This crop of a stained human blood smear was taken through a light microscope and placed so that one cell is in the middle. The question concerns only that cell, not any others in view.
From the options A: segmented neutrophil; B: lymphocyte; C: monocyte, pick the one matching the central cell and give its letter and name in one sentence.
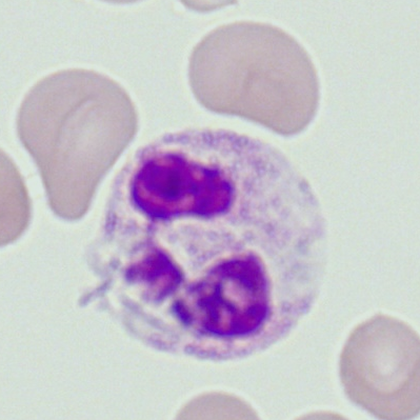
Of the options given, A is correct, the central cell being a segmented neutrophil.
